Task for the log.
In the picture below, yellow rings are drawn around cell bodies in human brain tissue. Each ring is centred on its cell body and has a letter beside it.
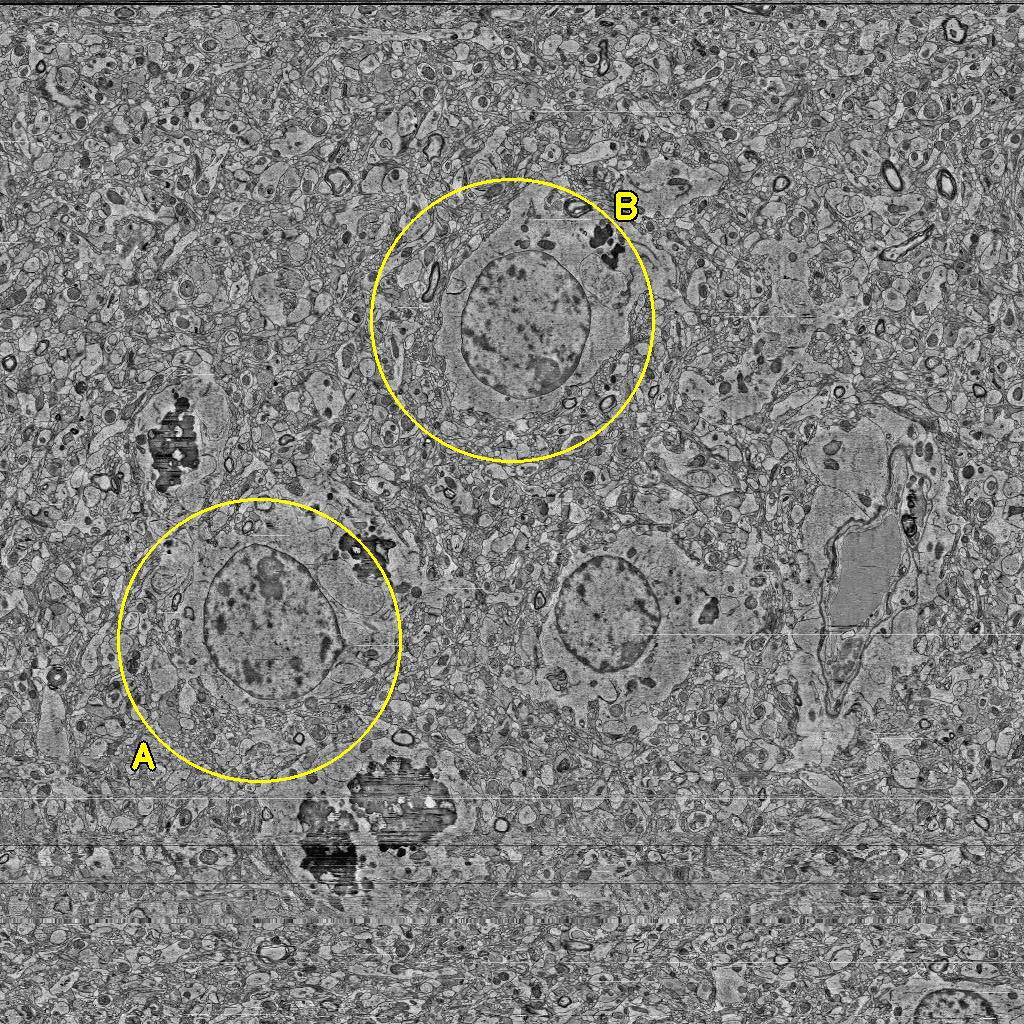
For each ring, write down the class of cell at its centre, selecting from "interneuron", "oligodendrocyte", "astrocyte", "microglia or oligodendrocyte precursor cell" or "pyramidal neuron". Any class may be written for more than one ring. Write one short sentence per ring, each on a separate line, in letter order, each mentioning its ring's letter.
The cell inside ring A, at its centre, is an astrocyte.
The cell inside ring B, at its centre, is an astrocyte.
